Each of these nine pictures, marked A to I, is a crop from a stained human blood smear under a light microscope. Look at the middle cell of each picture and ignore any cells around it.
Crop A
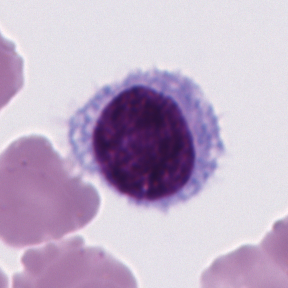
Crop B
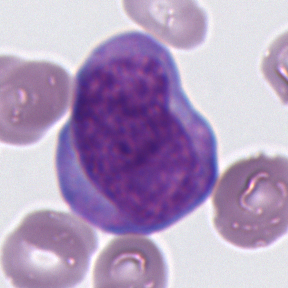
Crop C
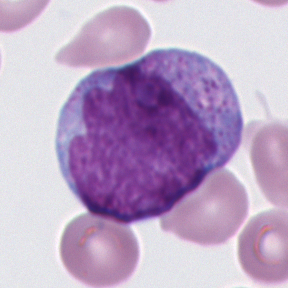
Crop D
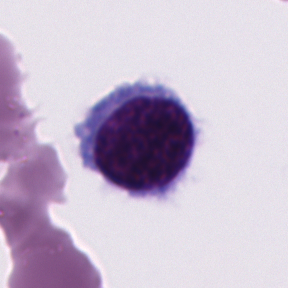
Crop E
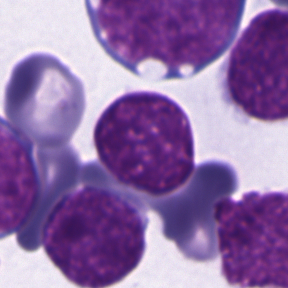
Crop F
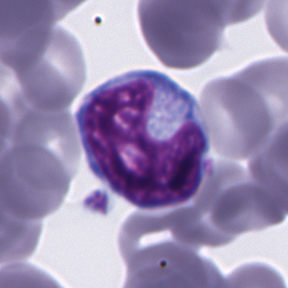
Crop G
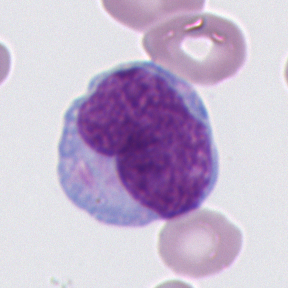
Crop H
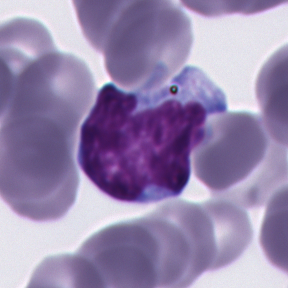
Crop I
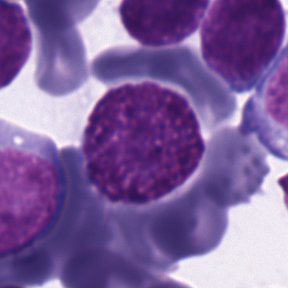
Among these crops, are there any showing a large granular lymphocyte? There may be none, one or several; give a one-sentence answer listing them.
The series of crops is entirely without a large granular lymphocyte.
